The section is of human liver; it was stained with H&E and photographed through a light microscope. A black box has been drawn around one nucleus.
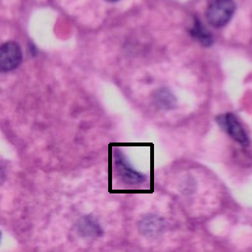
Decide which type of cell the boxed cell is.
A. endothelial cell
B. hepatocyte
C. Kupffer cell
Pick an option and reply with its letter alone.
A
